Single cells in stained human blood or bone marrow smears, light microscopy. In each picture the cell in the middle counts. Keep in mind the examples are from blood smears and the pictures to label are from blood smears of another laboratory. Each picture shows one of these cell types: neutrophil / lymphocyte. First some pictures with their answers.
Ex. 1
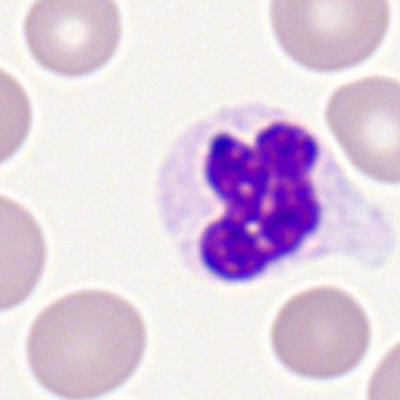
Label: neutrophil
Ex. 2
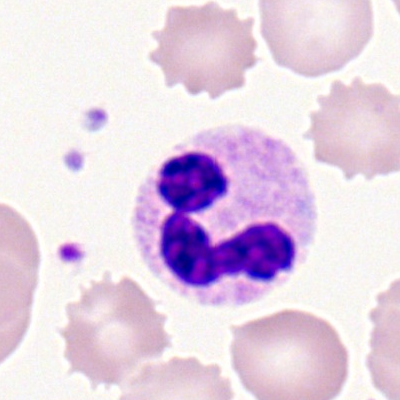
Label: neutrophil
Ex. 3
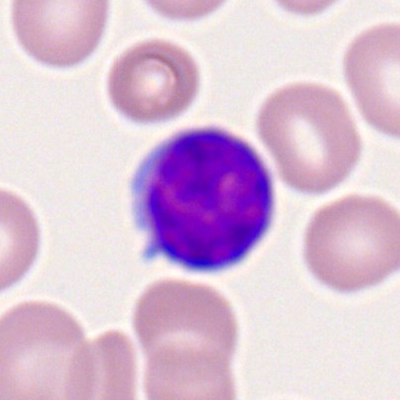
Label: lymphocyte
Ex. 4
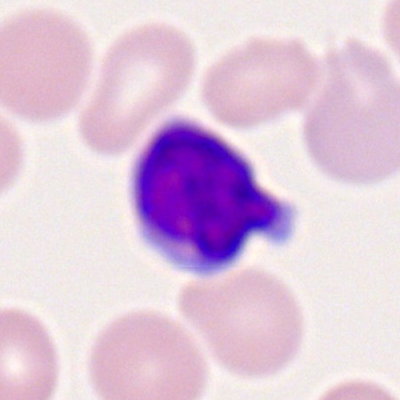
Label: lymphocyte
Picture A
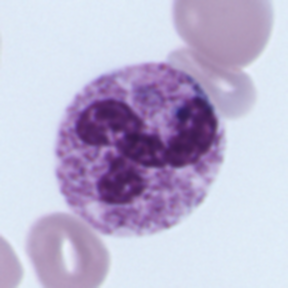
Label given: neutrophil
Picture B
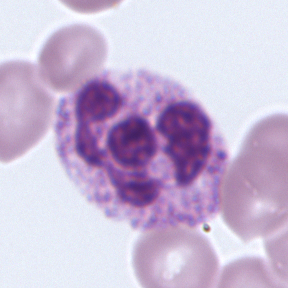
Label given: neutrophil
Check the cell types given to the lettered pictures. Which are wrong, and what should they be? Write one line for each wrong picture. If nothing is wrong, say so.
All labels are correct.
